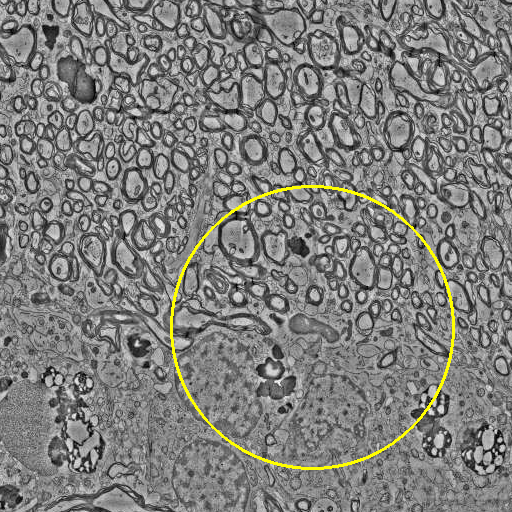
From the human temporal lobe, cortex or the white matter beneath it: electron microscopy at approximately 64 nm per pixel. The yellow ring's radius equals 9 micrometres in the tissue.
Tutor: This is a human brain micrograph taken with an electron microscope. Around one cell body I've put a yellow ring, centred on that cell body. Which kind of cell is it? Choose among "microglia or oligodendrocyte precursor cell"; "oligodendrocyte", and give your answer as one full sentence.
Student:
Going by your list, the cell centred in the yellow ring is a microglial cell or oligodendrocyte precursor cell.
